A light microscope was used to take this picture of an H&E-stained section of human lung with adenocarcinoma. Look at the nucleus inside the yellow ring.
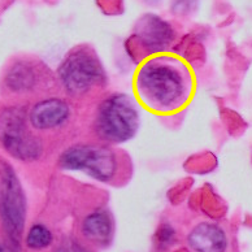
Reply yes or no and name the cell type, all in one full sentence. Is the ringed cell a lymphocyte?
No, the ringed cell is simply a carcinoma cell rather than a lymphocyte.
